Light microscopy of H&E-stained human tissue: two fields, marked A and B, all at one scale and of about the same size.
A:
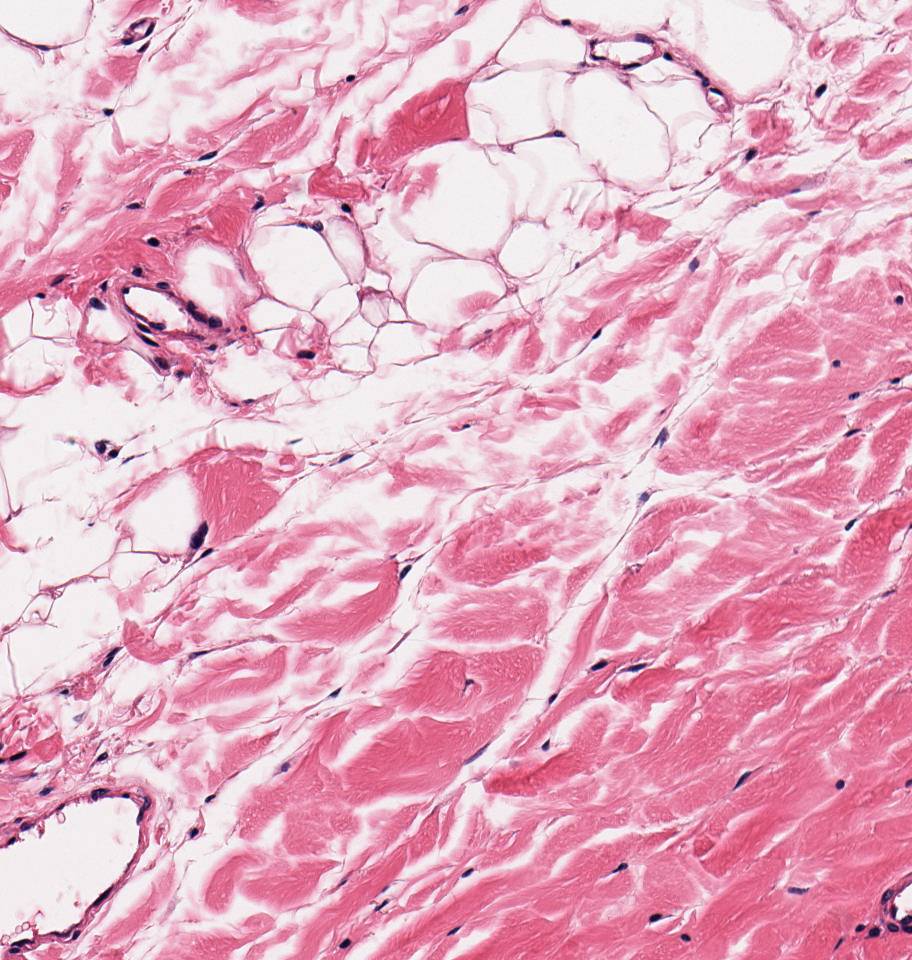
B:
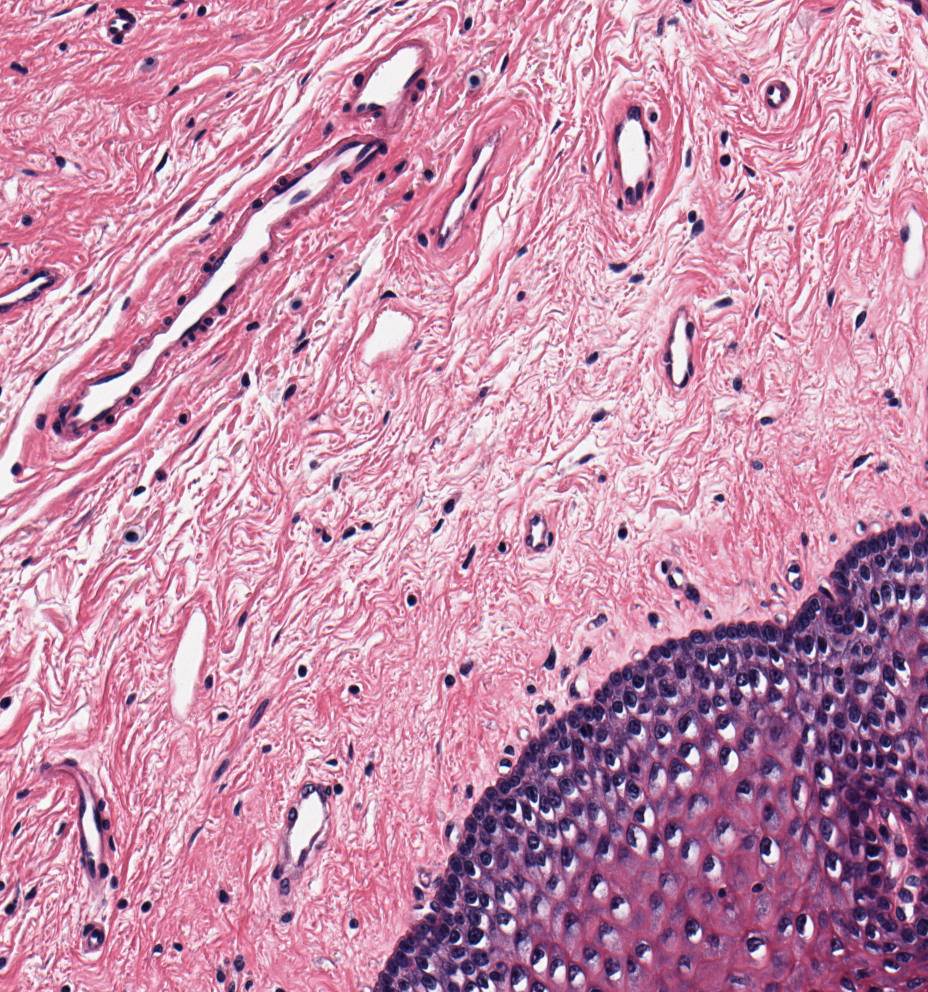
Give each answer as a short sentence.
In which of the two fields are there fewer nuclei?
There are fewer nuclei in field A.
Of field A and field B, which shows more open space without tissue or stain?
It is field A in which white space covers the larger part.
